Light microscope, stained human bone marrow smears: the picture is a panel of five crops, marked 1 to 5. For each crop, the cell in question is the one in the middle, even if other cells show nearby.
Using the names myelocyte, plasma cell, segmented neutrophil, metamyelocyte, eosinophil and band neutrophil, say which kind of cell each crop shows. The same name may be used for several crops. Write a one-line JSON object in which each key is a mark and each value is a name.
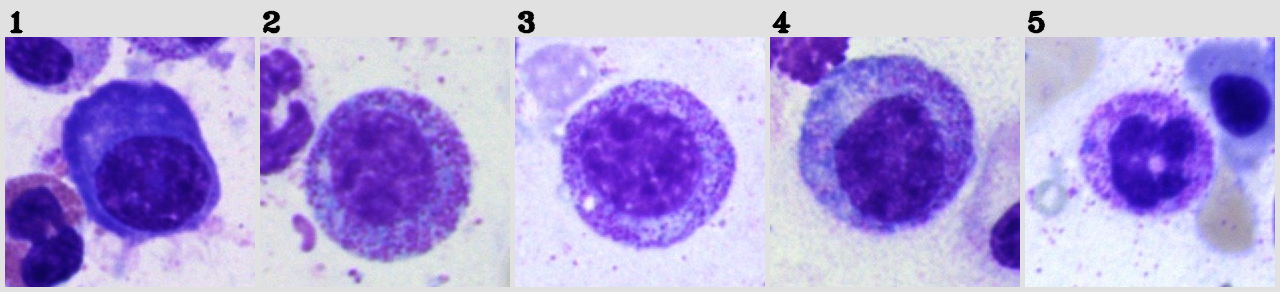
{"1": "plasma cell", "2": "myelocyte", "3": "myelocyte", "4": "myelocyte", "5": "segmented neutrophil"}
